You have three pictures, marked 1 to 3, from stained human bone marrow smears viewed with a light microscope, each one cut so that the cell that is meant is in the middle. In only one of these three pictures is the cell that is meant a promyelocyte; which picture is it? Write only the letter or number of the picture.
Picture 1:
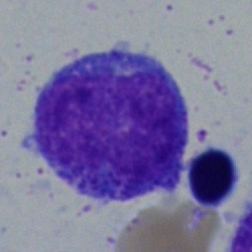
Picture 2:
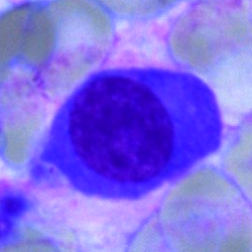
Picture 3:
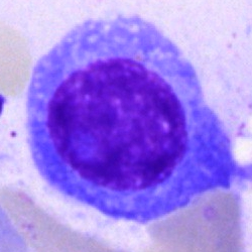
1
